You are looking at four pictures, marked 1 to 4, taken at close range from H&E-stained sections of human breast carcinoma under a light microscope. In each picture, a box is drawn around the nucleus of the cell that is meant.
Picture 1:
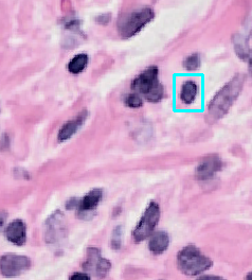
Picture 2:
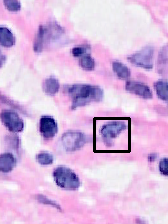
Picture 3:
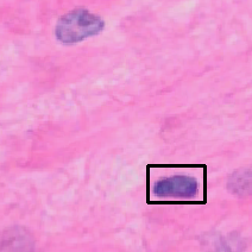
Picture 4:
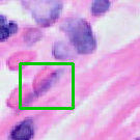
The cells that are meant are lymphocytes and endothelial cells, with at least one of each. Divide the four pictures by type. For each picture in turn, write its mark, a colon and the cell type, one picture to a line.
1: lymphocyte
2: lymphocyte
3: lymphocyte
4: endothelial cell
